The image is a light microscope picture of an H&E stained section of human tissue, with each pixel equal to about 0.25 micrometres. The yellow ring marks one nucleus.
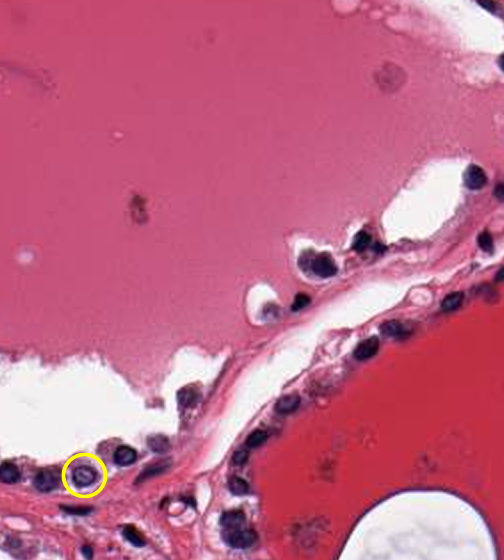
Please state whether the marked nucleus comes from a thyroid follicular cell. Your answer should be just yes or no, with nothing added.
yes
